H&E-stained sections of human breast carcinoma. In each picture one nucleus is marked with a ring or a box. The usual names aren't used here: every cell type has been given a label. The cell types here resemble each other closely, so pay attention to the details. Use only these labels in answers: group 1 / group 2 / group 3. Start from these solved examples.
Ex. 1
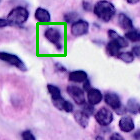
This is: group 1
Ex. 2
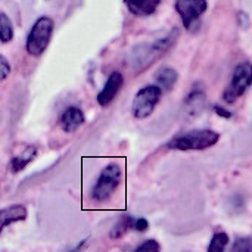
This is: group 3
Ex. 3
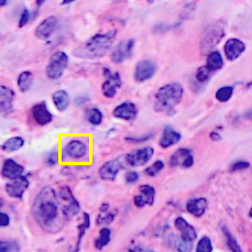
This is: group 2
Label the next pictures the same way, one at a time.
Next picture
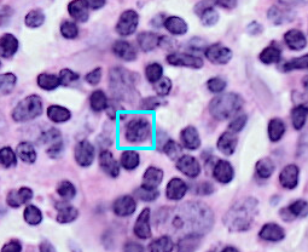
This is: group 1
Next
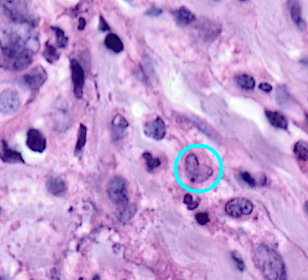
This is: group 2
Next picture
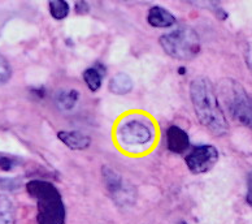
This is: group 2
